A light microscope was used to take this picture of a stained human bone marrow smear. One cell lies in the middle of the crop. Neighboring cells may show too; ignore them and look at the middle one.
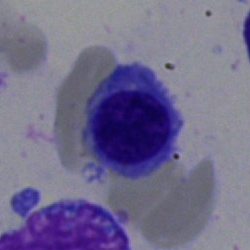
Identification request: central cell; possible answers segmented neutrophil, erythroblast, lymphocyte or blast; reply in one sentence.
Seen at the centre of the crop is an erythroblast.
